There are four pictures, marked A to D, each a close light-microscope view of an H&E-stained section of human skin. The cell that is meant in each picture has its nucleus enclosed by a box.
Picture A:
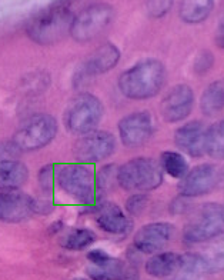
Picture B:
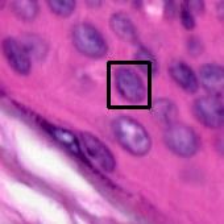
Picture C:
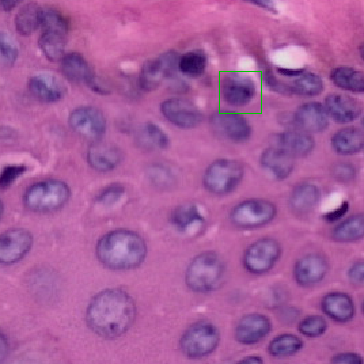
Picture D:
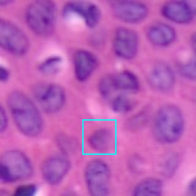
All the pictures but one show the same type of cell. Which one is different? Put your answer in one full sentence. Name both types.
Picture B differs, because its cell is a suprabasal keratinocyte and the rest are basal keratinocytes.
